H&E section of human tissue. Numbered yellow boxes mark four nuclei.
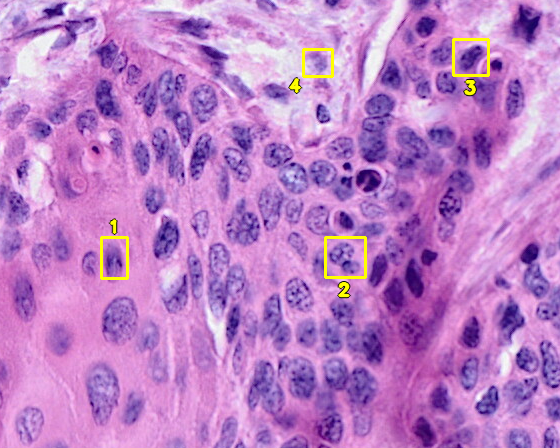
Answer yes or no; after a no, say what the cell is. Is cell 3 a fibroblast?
No, it is a squamous carcinoma cell.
